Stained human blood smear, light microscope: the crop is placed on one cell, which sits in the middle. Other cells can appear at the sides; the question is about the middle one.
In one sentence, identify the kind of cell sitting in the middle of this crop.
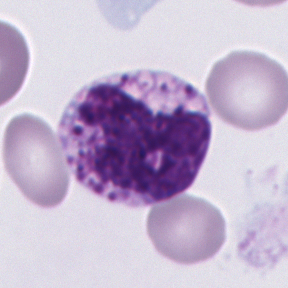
For this crop, the cell in the middle is a basophil.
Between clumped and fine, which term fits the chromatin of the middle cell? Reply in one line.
Its nuclear chromatin is gathered into coarse clumps.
